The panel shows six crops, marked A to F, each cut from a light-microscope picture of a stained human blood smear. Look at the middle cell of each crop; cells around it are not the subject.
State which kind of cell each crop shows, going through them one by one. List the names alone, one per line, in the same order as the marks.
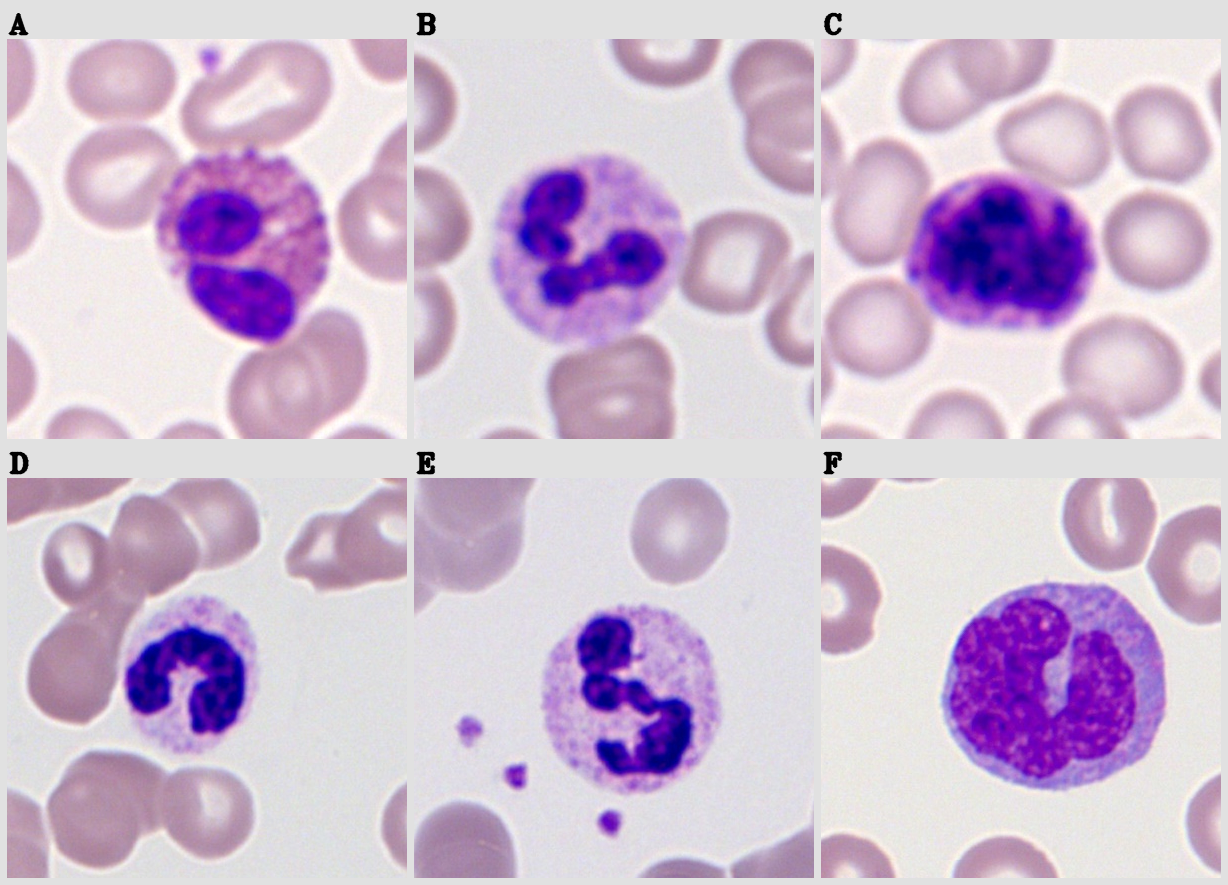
eosinophil
segmented neutrophil
basophil
band neutrophil
segmented neutrophil
monocyte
